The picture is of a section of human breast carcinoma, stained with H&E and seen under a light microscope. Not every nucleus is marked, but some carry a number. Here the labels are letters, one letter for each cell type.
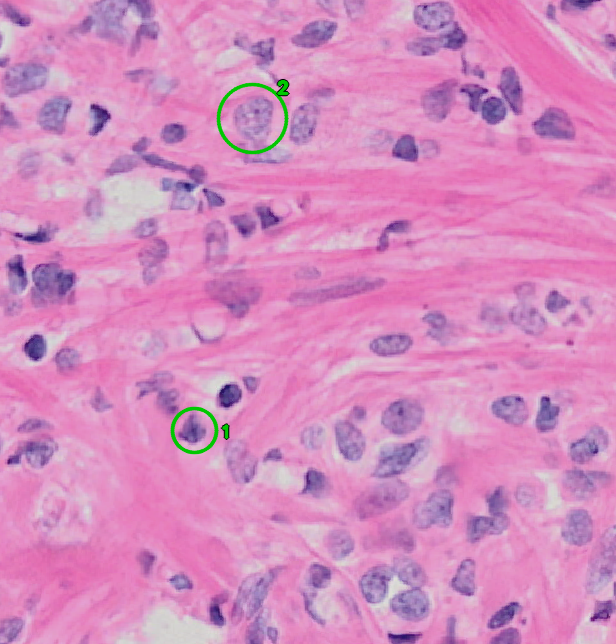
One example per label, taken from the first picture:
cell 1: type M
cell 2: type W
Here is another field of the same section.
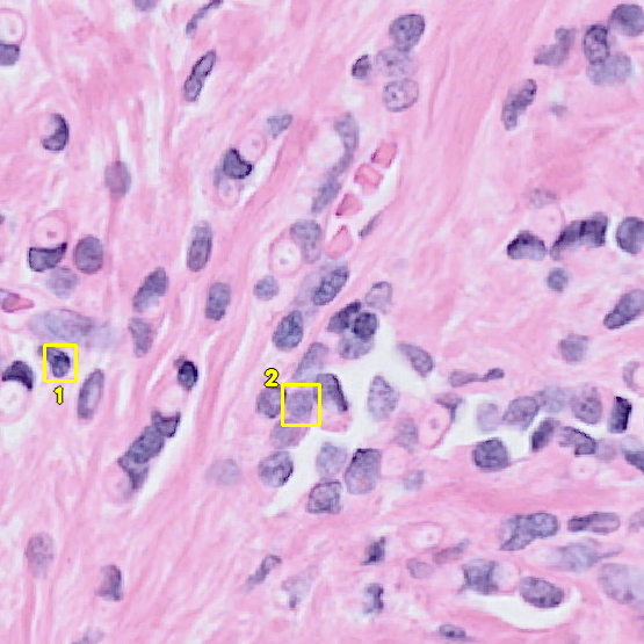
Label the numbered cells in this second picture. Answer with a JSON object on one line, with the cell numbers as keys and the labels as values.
{"1": "type M", "2": "type W"}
